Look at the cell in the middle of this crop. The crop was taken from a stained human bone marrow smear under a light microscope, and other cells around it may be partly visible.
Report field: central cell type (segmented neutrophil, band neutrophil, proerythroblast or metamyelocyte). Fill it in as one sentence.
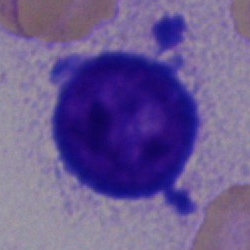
The cell sitting right in the middle is a proerythroblast.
